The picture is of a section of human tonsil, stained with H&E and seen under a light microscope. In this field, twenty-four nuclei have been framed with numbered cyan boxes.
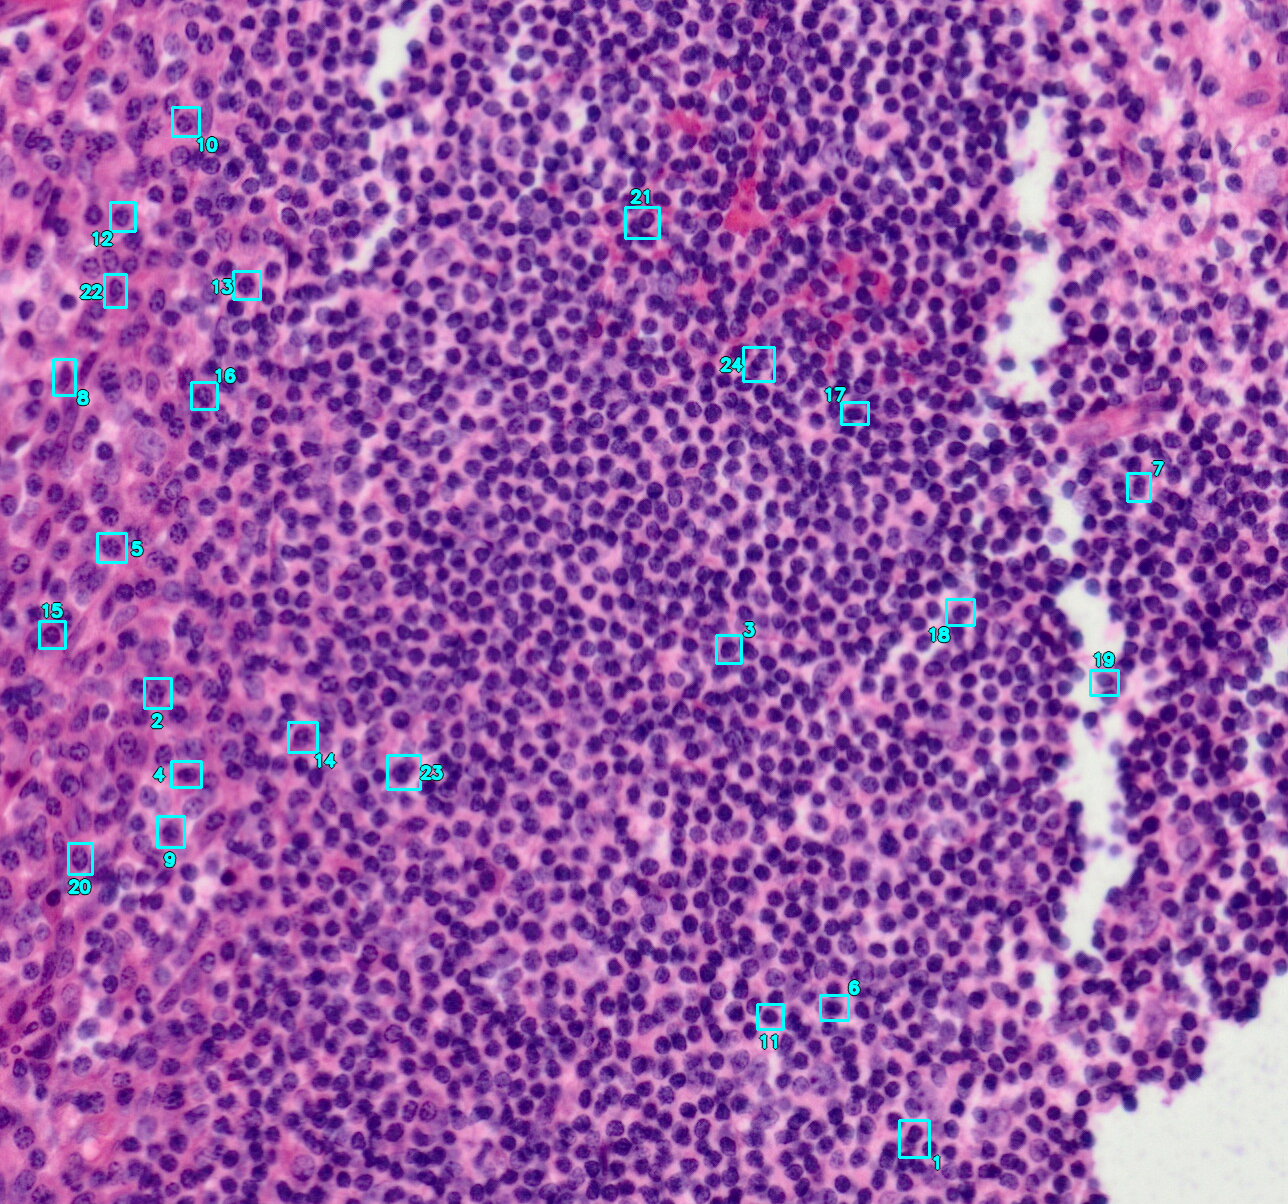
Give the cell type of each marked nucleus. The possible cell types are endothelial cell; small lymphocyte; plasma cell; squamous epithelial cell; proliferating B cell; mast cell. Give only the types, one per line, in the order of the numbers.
small lymphocyte
plasma cell
small lymphocyte
plasma cell
plasma cell
small lymphocyte
small lymphocyte
squamous epithelial cell
plasma cell
plasma cell
small lymphocyte
plasma cell
plasma cell
plasma cell
plasma cell
plasma cell
small lymphocyte
small lymphocyte
small lymphocyte
plasma cell
small lymphocyte
plasma cell
proliferating B cell
small lymphocyte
